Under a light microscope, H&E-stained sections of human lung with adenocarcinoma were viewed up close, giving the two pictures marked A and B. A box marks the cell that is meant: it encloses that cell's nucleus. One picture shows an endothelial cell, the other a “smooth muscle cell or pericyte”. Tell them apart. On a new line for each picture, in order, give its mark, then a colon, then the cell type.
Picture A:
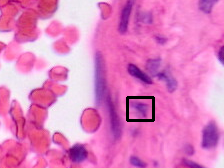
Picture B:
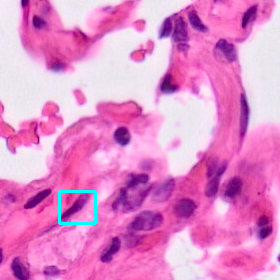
A: smooth muscle cell or pericyte
B: endothelial cell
